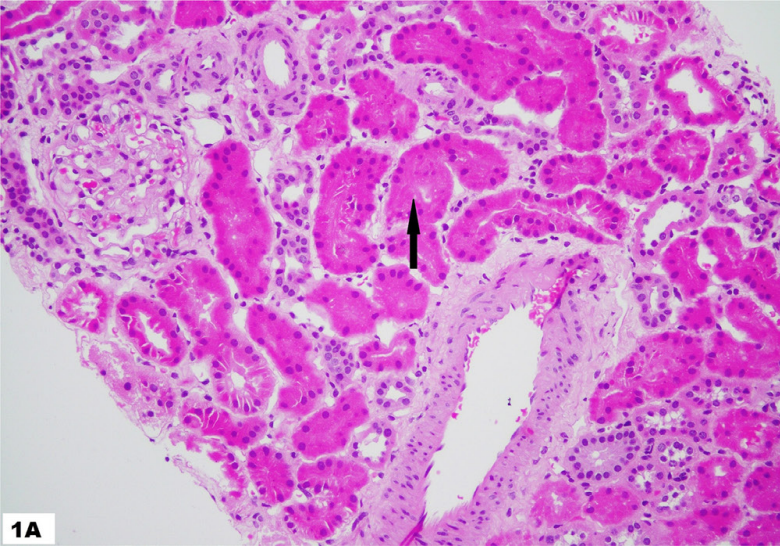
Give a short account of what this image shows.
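This is kidney cortex with many closely packed renal tubules lined by cuboidal epithelial cells with abundant pink cytoplasm and round, dark basal nuclei. A glomerulus with its capillary tuft lies at the left edge, and a medium-sized vessel with a thick muscular wall crosses the lower middle of the field. Some tubules show an uneven, frayed luminal border of their lining cells.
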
